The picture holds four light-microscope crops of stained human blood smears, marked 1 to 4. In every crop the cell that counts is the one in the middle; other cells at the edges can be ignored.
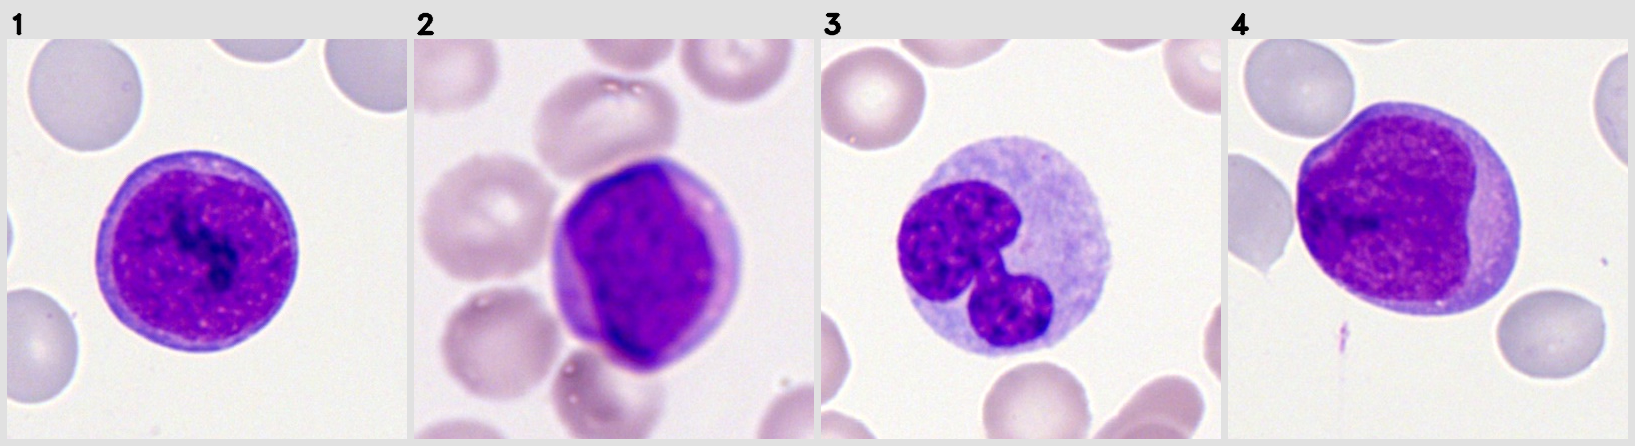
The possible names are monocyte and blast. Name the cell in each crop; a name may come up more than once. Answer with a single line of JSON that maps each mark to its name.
{"1": "blast", "2": "blast", "3": "monocyte", "4": "blast"}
